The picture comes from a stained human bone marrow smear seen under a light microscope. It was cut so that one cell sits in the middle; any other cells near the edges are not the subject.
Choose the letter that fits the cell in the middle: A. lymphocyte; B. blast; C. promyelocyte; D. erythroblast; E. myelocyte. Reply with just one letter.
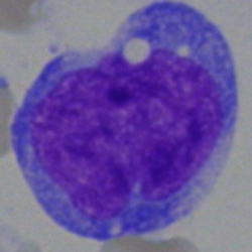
B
